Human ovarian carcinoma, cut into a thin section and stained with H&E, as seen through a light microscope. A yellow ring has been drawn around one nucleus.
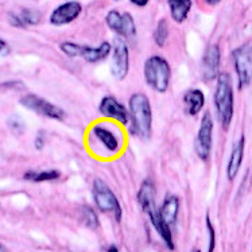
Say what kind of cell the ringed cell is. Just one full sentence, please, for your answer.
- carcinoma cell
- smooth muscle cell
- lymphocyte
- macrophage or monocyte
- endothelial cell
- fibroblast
For the purposes of cell typing, the ringed cell is categorized as a lymphocyte.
